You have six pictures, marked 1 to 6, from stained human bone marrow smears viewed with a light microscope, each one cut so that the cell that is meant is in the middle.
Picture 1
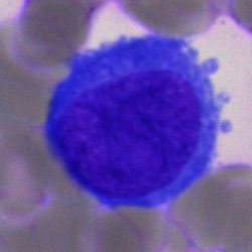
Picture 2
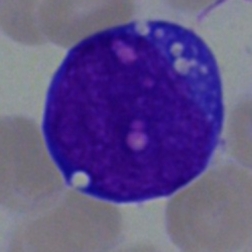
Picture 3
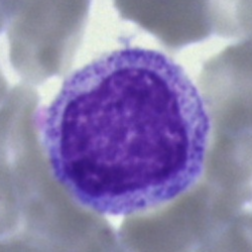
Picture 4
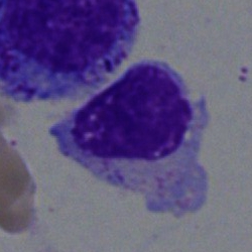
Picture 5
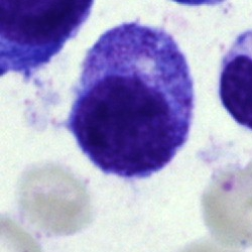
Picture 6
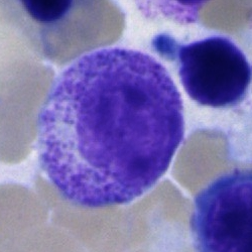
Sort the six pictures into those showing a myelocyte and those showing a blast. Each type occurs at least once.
1: blast
2: blast
3: myelocyte
4: myelocyte
5: myelocyte
6: myelocyte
